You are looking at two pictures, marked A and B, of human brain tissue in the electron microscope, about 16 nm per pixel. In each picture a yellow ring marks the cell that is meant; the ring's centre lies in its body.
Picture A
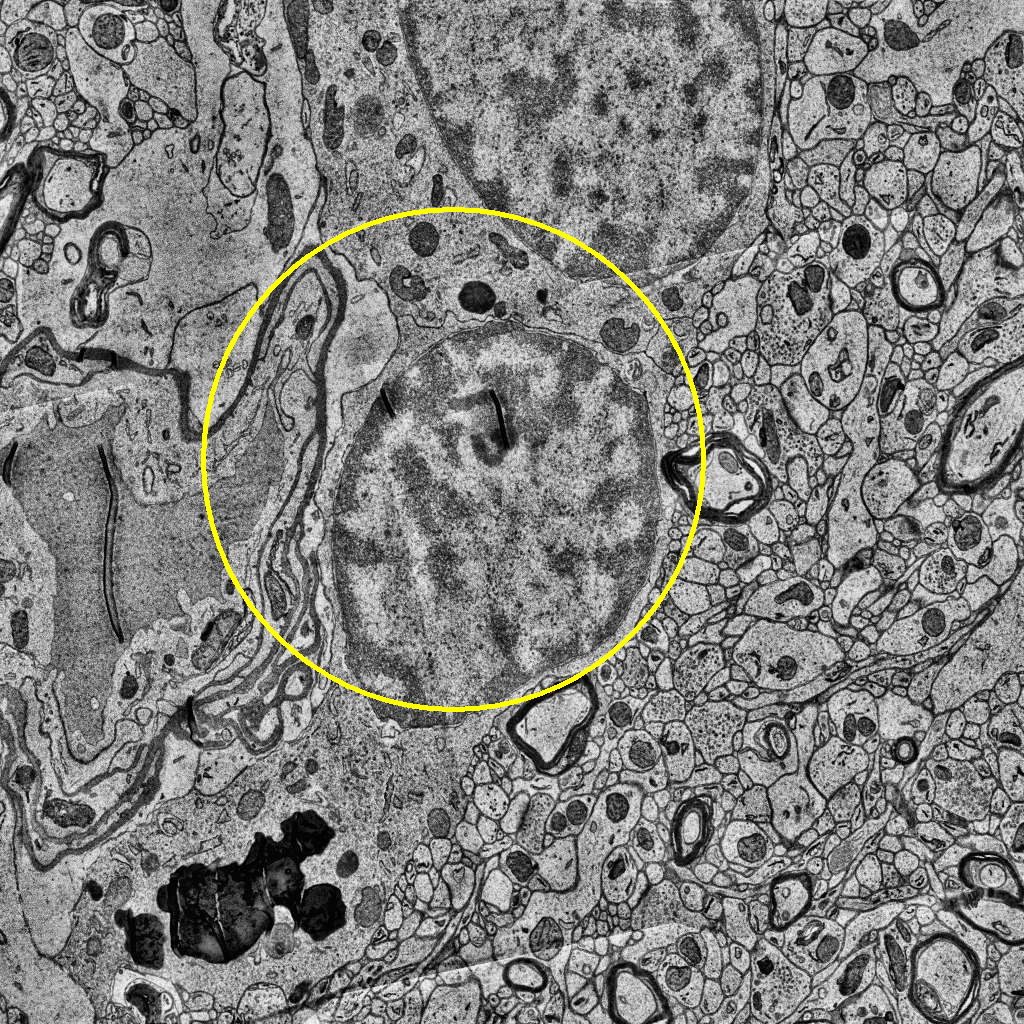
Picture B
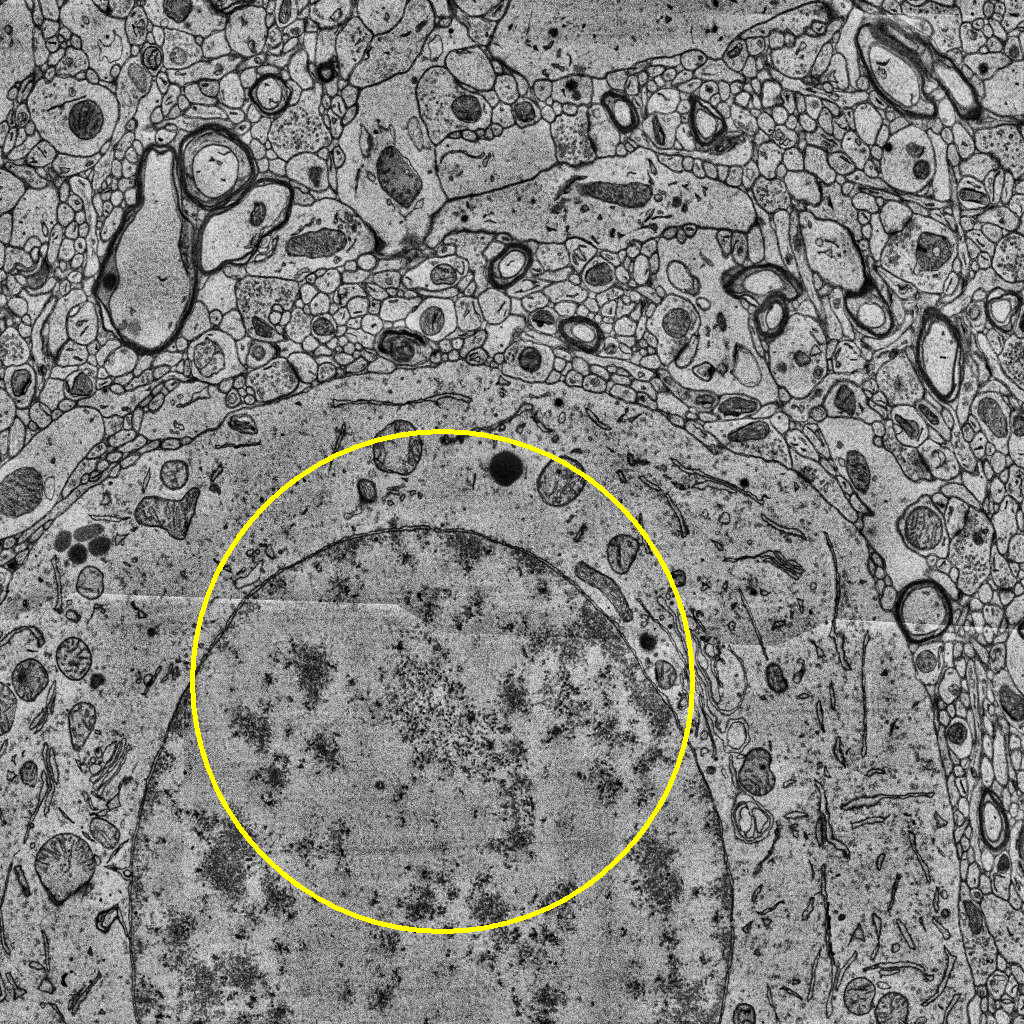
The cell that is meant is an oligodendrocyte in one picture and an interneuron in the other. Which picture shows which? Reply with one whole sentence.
In picture A the cell is an oligodendrocyte; in picture B, an interneuron.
